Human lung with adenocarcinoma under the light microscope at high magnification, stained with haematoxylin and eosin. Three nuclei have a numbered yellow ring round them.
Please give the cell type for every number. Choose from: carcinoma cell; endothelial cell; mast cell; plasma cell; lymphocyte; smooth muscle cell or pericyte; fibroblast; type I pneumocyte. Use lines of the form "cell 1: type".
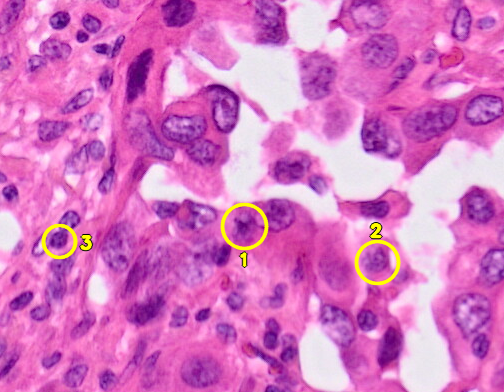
cell 1: carcinoma cell
cell 2: carcinoma cell
cell 3: lymphocyte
